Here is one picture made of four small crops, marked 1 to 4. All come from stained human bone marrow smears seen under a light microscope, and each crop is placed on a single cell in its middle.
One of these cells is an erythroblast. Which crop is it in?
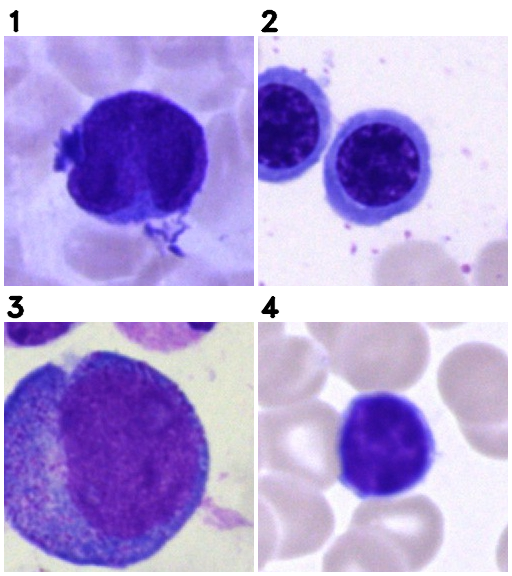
2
